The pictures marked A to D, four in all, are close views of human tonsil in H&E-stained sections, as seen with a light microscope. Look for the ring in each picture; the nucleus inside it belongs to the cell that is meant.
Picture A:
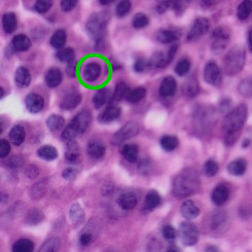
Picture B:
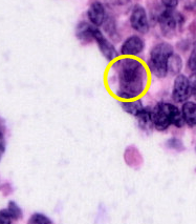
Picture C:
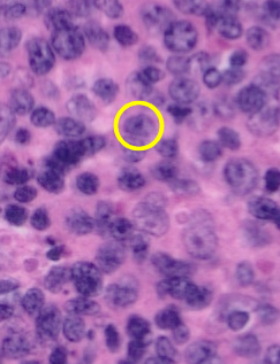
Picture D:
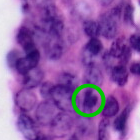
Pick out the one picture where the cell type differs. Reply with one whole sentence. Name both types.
All pictures except A show proliferating B cells; picture A shows a plasma cell.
